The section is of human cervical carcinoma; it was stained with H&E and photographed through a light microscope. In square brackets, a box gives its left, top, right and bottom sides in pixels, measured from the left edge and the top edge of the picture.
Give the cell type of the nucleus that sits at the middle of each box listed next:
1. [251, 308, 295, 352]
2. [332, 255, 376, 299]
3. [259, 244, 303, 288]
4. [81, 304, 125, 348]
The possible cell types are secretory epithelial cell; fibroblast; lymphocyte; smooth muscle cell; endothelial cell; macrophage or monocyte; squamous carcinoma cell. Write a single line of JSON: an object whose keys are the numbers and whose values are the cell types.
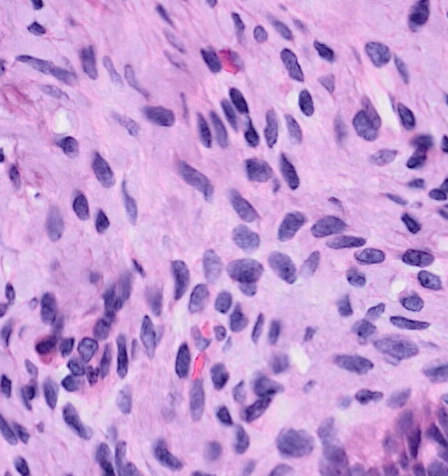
{"1": "fibroblast", "2": "fibroblast", "3": "fibroblast", "4": "endothelial cell"}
